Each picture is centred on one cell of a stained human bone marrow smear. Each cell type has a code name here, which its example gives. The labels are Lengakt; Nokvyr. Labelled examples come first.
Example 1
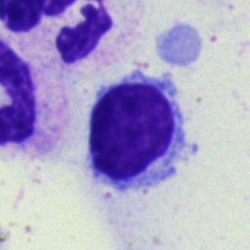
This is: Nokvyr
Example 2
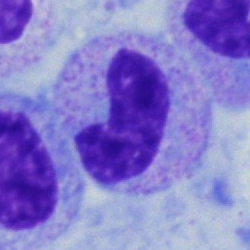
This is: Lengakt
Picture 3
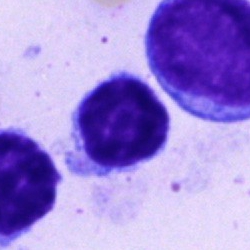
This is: Nokvyr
